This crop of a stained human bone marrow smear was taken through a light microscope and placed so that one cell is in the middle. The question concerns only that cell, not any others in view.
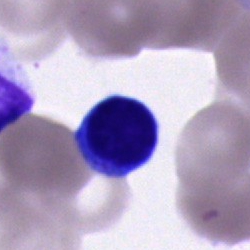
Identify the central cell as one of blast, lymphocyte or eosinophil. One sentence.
Looking at the middle of the crop, the cell there is a lymphocyte.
